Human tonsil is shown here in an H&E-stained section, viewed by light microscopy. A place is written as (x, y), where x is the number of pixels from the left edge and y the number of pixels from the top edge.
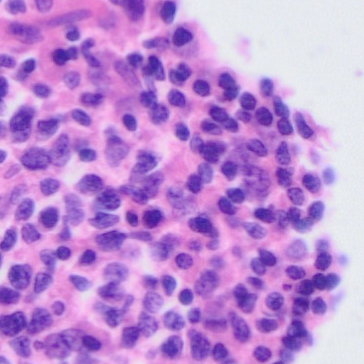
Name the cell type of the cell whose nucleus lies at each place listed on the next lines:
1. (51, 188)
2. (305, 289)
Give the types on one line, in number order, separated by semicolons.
proliferating B cell; small lymphocyte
